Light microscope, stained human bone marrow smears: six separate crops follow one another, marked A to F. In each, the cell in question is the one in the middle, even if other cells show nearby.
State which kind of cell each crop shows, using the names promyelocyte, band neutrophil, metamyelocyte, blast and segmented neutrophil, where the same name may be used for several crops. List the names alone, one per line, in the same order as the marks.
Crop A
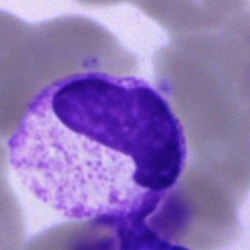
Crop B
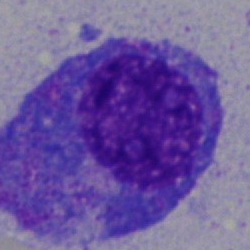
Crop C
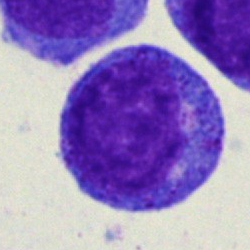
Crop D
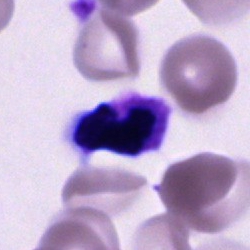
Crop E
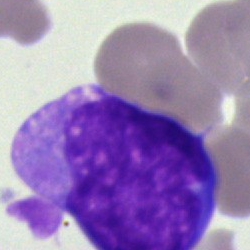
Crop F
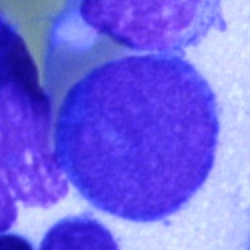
band neutrophil
promyelocyte
promyelocyte
segmented neutrophil
blast
blast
